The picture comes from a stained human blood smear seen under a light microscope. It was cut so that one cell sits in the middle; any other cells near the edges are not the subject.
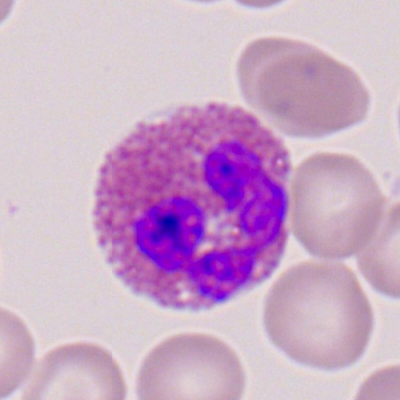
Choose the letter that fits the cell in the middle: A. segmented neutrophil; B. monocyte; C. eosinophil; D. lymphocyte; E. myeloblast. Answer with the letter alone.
C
